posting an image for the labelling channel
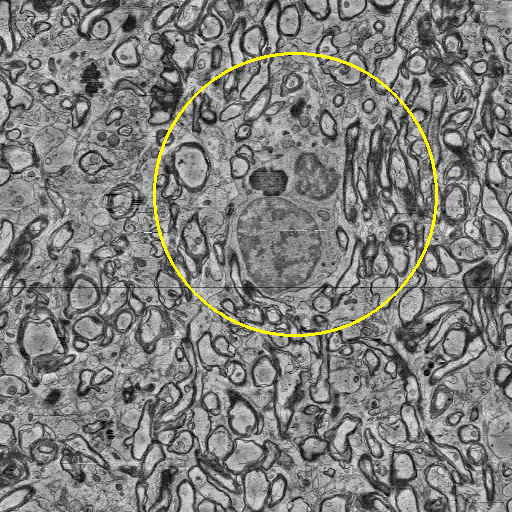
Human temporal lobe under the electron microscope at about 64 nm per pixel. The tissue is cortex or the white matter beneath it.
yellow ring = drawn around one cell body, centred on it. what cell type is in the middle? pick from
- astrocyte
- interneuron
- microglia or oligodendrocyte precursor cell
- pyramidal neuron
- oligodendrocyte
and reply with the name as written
oligodendrocyte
